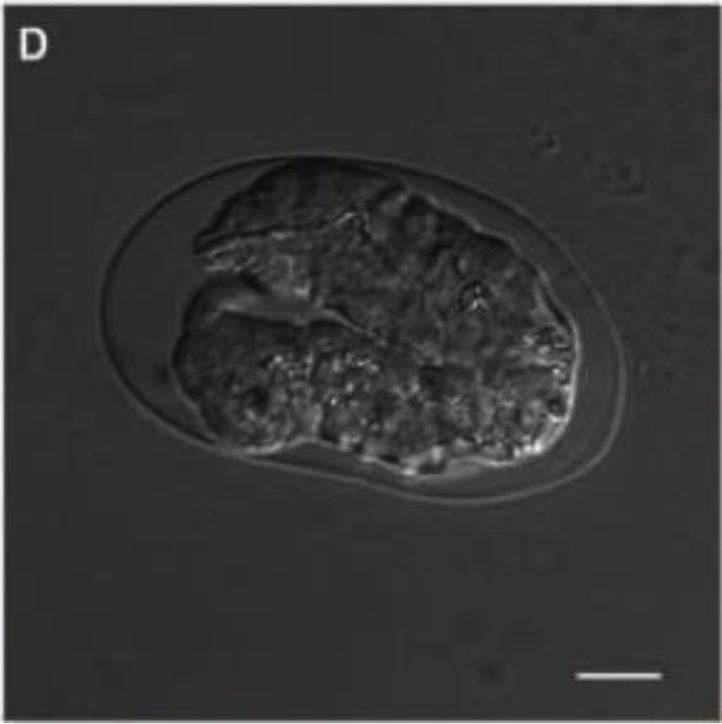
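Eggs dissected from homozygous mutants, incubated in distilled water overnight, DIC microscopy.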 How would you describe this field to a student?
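Within an oval eggshell lies an elongated embryo folded back on itself, with a wide clear space between it and the shell. The body is formed of many small cells, and its surface outline is irregular, with bumps and indentations along its length.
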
